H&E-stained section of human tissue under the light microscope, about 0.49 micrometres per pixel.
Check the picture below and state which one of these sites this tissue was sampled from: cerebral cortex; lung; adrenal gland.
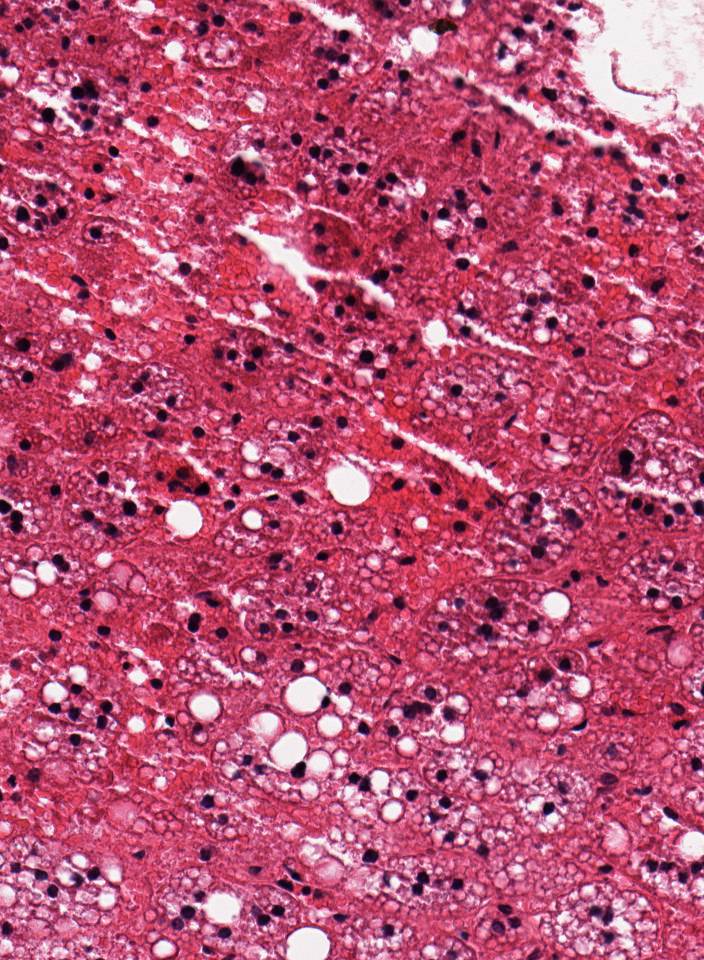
adrenal gland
